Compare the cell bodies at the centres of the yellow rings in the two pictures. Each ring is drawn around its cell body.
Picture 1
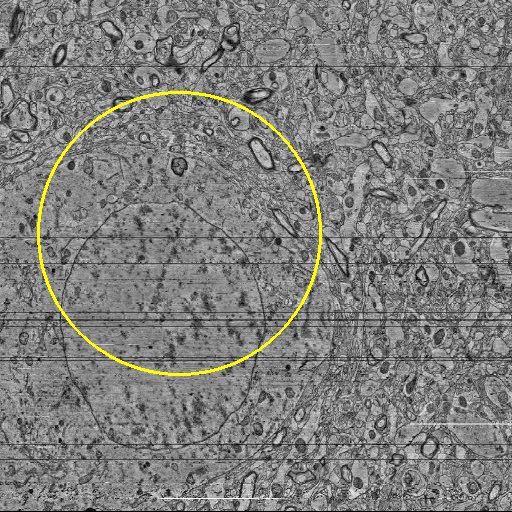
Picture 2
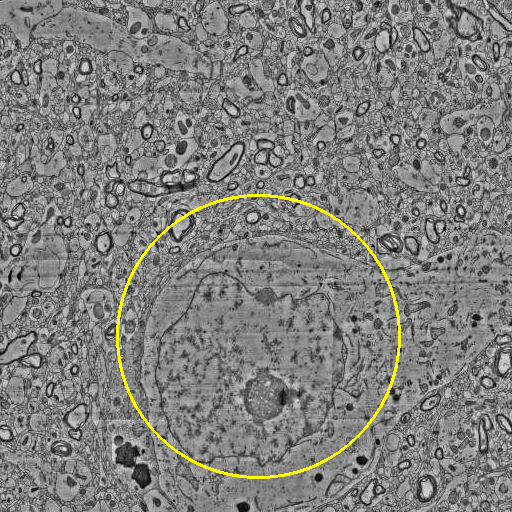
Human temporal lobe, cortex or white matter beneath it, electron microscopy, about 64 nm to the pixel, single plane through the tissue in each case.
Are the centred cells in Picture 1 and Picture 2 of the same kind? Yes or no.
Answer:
yes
